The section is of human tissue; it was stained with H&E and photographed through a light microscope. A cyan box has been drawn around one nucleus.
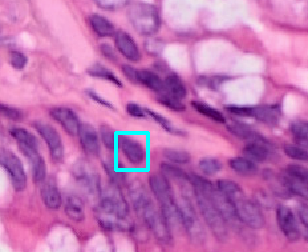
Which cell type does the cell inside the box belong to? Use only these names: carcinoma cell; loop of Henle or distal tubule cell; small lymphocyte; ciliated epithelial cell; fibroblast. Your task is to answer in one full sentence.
In this preparation, the cell inside the box is a ciliated epithelial cell.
